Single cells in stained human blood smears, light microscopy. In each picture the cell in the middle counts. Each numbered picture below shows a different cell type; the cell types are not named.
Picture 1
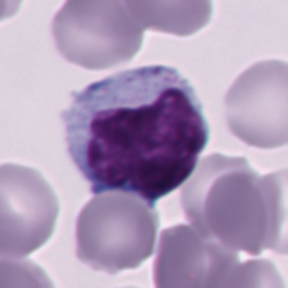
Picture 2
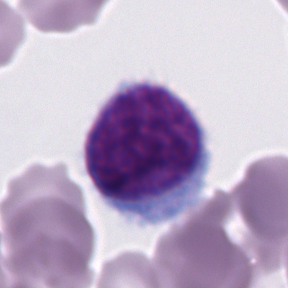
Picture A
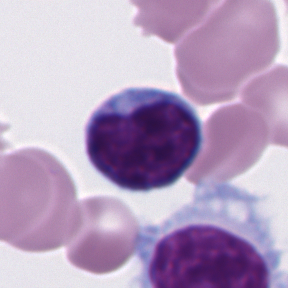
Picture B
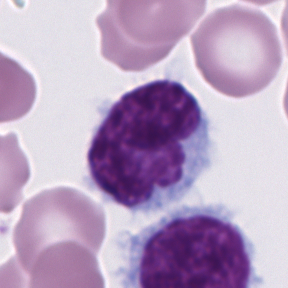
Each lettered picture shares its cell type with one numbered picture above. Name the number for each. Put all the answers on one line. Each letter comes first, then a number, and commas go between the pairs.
A 1, B 2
